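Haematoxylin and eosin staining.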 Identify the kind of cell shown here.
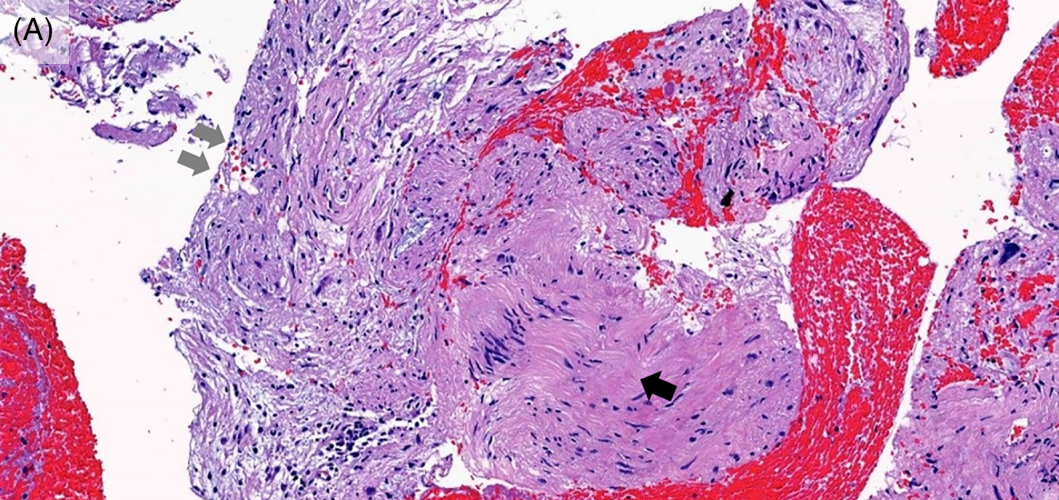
Spindle mesenchymal cells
